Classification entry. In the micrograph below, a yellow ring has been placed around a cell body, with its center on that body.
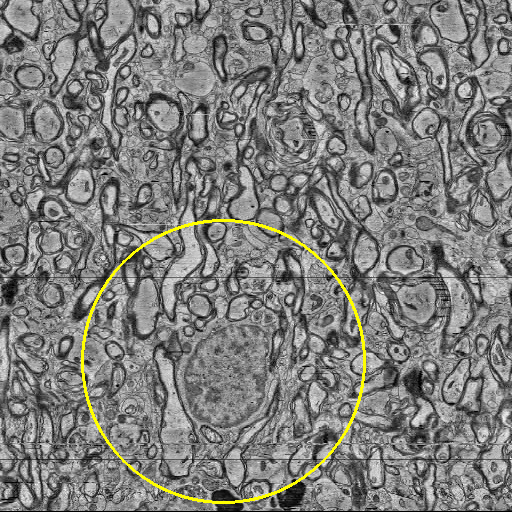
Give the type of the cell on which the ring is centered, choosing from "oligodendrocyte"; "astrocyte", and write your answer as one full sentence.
The cell body at the center of the yellow ring belongs to an oligodendrocyte.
